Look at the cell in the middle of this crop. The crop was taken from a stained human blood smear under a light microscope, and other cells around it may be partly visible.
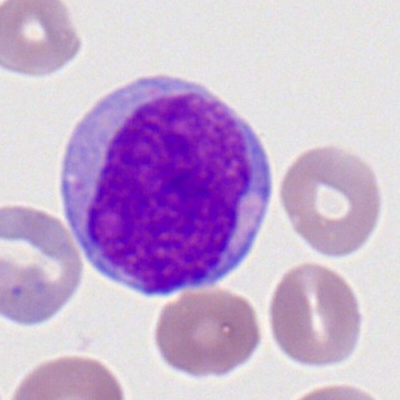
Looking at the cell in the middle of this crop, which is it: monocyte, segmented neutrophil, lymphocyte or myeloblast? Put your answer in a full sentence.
The centered cell in this crop is a myeloblast.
